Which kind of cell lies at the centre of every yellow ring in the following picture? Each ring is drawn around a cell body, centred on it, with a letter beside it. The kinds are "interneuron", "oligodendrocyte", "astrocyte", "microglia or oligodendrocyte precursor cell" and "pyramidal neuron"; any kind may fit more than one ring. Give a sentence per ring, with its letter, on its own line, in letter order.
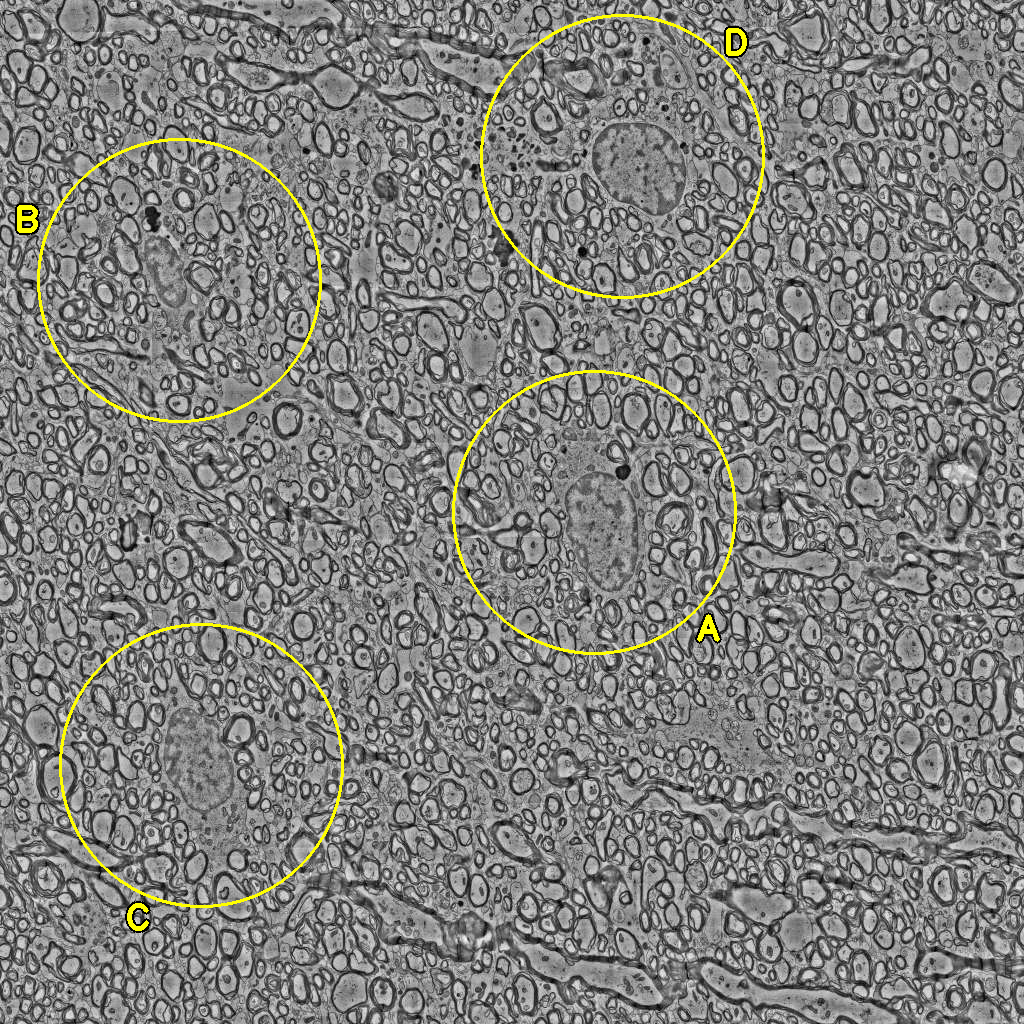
The cell body centred in ring A is that of an oligodendrocyte.
The cell body centred in ring B is that of an oligodendrocyte.
The cell body centred in ring C is that of an oligodendrocyte.
The cell body centred in ring D is that of a microglial cell or oligodendrocyte precursor cell.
